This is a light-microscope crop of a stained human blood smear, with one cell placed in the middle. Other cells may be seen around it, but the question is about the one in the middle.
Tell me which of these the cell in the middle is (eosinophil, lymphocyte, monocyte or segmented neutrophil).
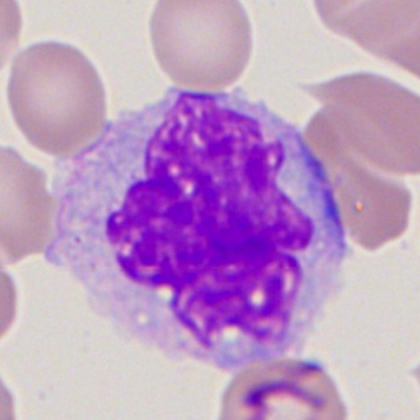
monocyte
